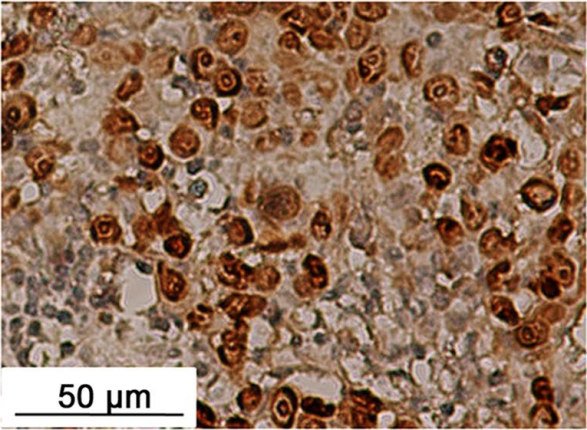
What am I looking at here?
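The nuclei are large, round to oval and crowded, many showing a prominent central nucleolus that gives them a ringed look. The cytoplasm around them is pale and poorly outlined, so the cells merge into a loose sheet without clear borders. Scattered between the brown nuclei are much smaller, unstained blue-grey nuclei of other cells. The brown stain sits mainly over the nuclei, with lighter brown tinge in the surrounding cytoplasm of some cells. Pale empty spaces and a faint fibrous background lie between groups of cells.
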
